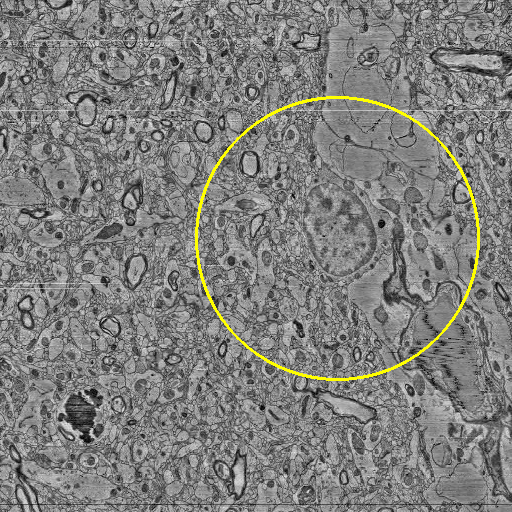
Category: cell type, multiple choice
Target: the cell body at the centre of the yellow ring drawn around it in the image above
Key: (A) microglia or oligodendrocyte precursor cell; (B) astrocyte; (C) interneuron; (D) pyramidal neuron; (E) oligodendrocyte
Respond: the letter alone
E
